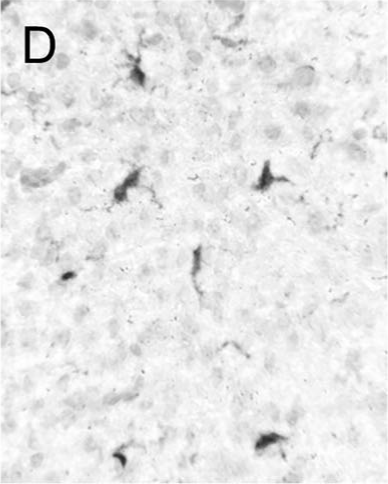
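The stained cells have plump, elongated or irregular dark cell bodies. Their processes are few, short and thick rather than long and finely branched, so the cells look compact and scattered across the field.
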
